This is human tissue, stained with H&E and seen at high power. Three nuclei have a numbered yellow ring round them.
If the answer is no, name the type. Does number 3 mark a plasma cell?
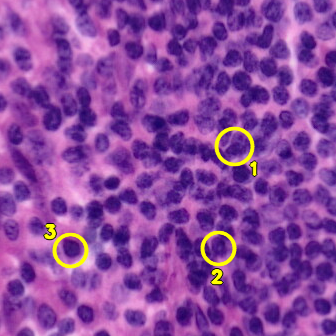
Yes.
